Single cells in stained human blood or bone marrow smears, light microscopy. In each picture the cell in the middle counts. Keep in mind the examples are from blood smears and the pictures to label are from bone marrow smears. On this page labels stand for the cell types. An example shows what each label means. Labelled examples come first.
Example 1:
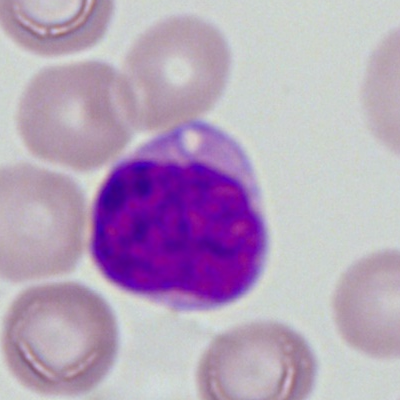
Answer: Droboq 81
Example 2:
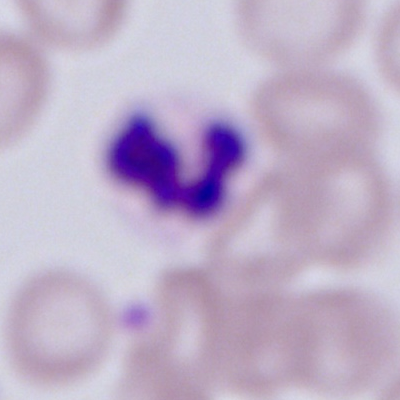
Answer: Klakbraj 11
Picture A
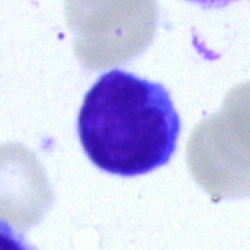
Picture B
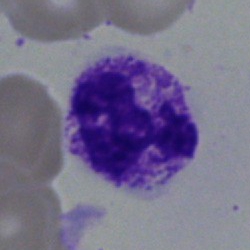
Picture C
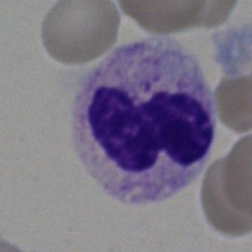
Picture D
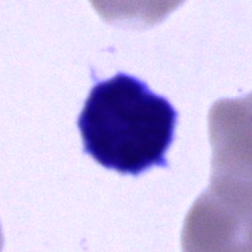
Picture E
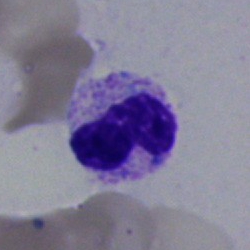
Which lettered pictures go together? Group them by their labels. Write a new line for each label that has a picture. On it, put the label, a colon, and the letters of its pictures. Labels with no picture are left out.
Droboq 81: A, D
Klakbraj 11: B, C, E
